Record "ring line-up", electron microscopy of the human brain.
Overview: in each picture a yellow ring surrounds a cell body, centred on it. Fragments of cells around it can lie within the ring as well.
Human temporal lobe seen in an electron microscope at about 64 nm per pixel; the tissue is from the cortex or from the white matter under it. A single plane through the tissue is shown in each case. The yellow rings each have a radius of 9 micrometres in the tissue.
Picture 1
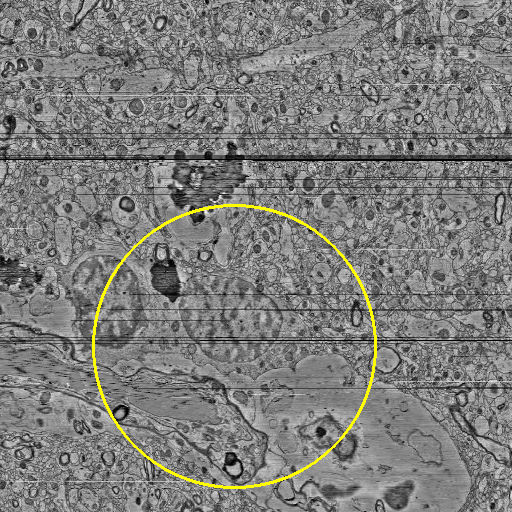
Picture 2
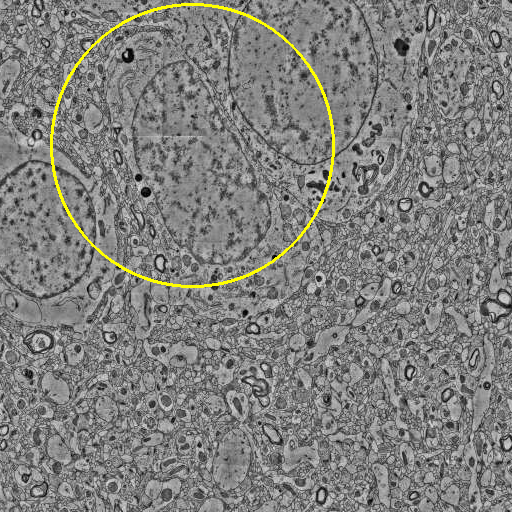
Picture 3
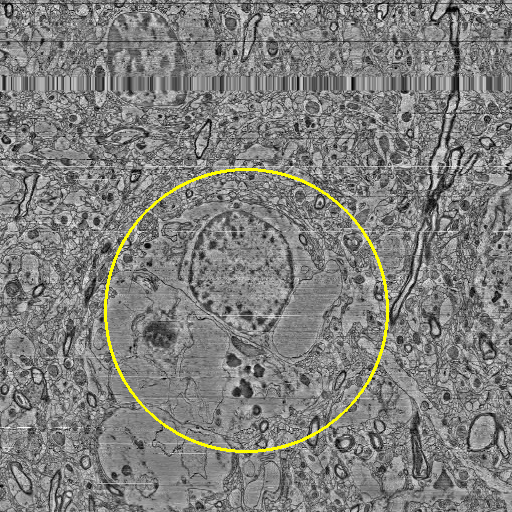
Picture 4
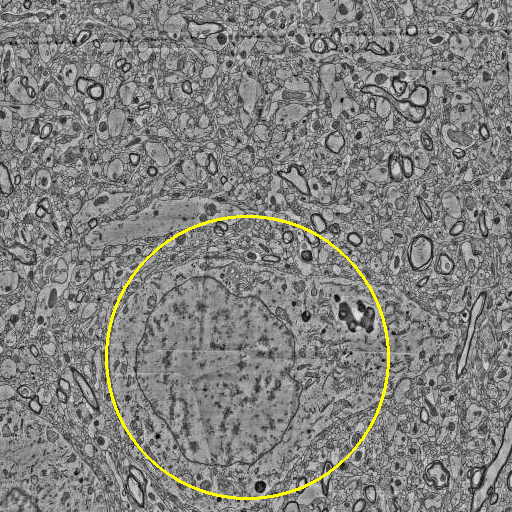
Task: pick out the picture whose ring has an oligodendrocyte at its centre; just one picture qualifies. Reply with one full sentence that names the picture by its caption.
Going by the cell at the ring's centre, the right choice is Picture 1.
